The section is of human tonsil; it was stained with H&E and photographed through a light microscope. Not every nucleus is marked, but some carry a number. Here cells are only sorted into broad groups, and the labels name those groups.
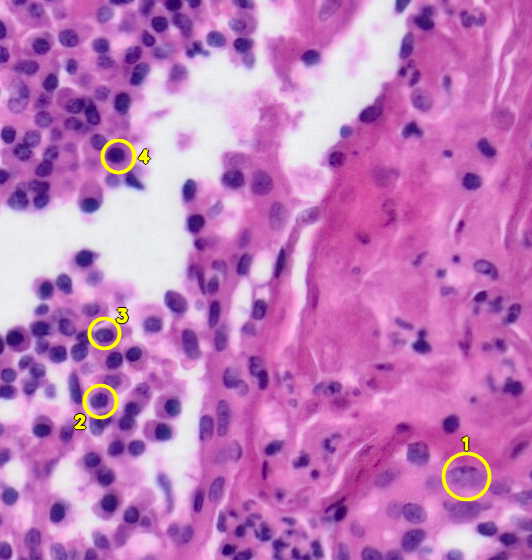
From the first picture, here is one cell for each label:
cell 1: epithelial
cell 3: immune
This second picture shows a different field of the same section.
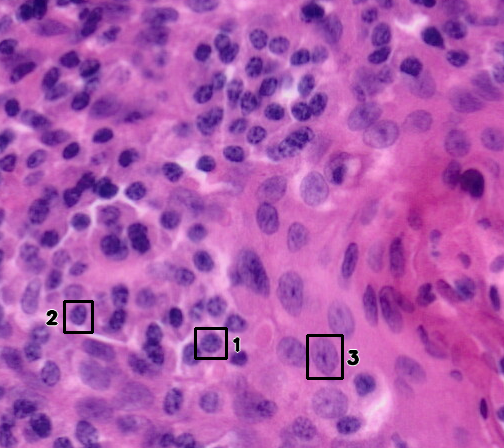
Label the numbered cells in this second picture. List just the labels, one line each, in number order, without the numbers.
immune
immune
epithelial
